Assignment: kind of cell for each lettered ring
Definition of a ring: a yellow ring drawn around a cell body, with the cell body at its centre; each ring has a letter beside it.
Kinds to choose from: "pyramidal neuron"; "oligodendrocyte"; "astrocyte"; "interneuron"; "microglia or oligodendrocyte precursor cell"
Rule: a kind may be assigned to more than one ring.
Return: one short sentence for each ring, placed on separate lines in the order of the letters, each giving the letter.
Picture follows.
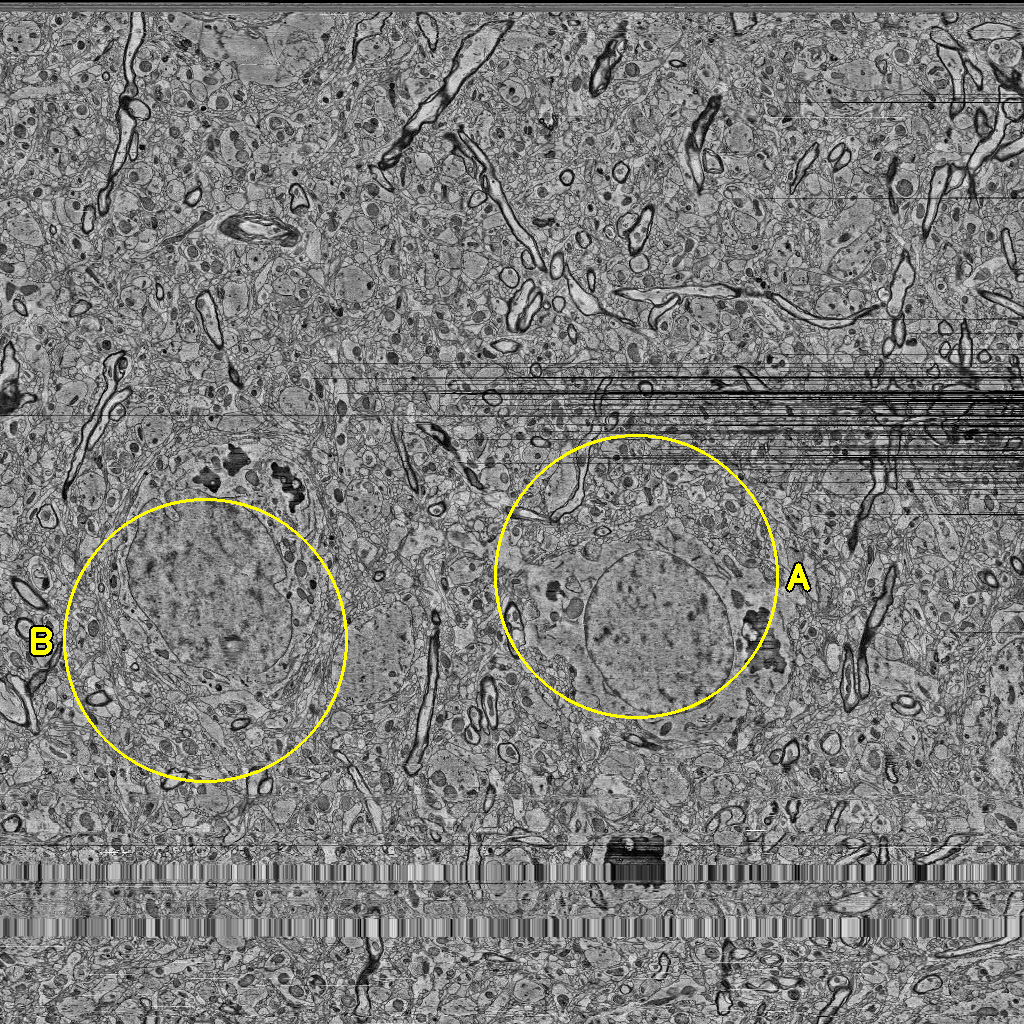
The ring marked A is centred on an astrocyte.
The ring marked B is centred on an interneuron.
